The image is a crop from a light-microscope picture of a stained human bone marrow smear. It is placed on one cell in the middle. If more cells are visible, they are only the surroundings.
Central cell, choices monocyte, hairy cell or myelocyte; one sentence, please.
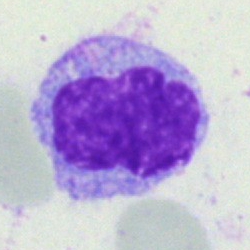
Here the centrally located cell is a monocyte.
